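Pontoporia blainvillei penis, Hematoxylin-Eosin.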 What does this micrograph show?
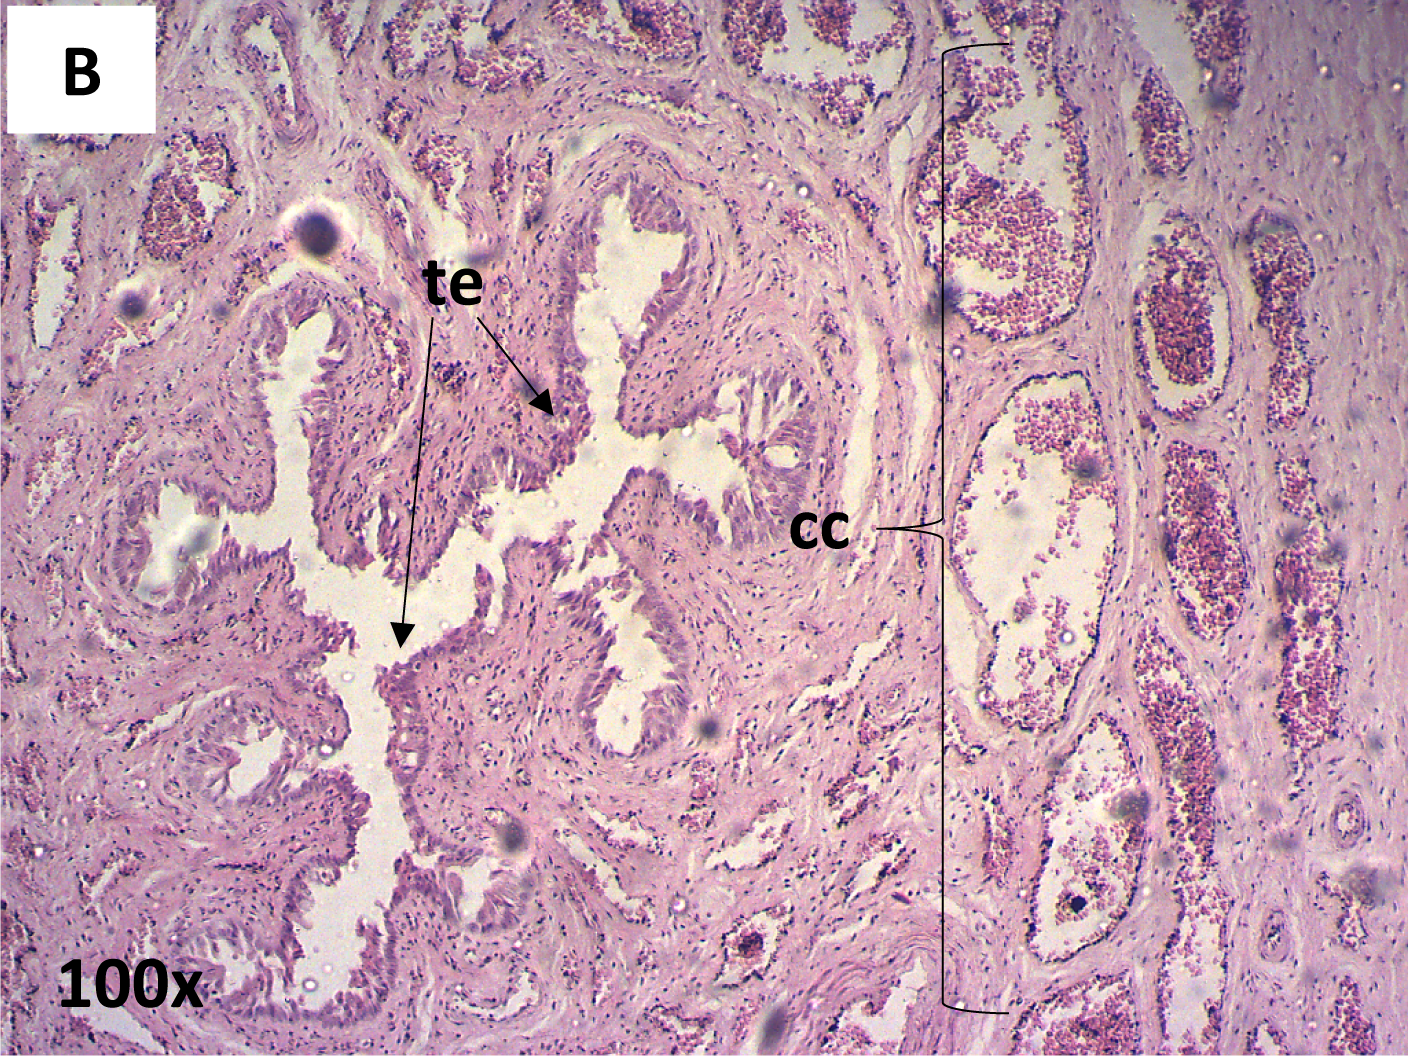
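This section shows penile tissue with a central epithelium-lined lumen and, to one side, erectile tissue of the corpus cavernosum. The lumen is irregular and branching, and its wall is thrown into many folds. It is lined by a multilayered epithelium of closely packed cells with dark purple nuclei. The lumen is surrounded by dense pink-staining connective tissue with scattered elongated nuclei. Toward the right, the stroma contains many large, irregular vascular spaces packed with red-staining blood cells. These spaces are separated by pink fibrous septa.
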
